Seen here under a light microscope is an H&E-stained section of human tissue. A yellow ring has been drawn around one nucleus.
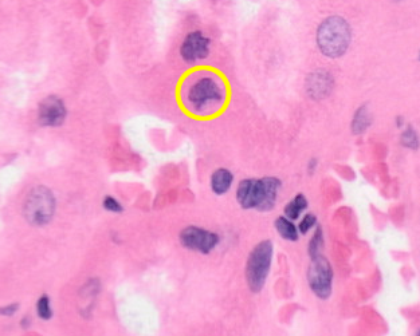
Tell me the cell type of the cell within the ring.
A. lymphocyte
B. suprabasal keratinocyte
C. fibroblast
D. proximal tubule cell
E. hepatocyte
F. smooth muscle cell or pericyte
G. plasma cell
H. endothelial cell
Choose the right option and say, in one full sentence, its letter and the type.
It is as option D has it, the cell within the ring being a proximal tubule cell.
